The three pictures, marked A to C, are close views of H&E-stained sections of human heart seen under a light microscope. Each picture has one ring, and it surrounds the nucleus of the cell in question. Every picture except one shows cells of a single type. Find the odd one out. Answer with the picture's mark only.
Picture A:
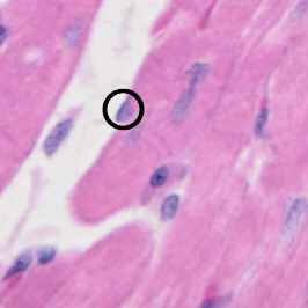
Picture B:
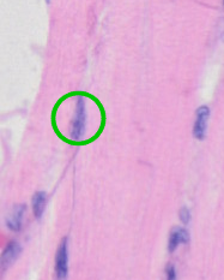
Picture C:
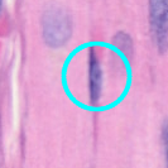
C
